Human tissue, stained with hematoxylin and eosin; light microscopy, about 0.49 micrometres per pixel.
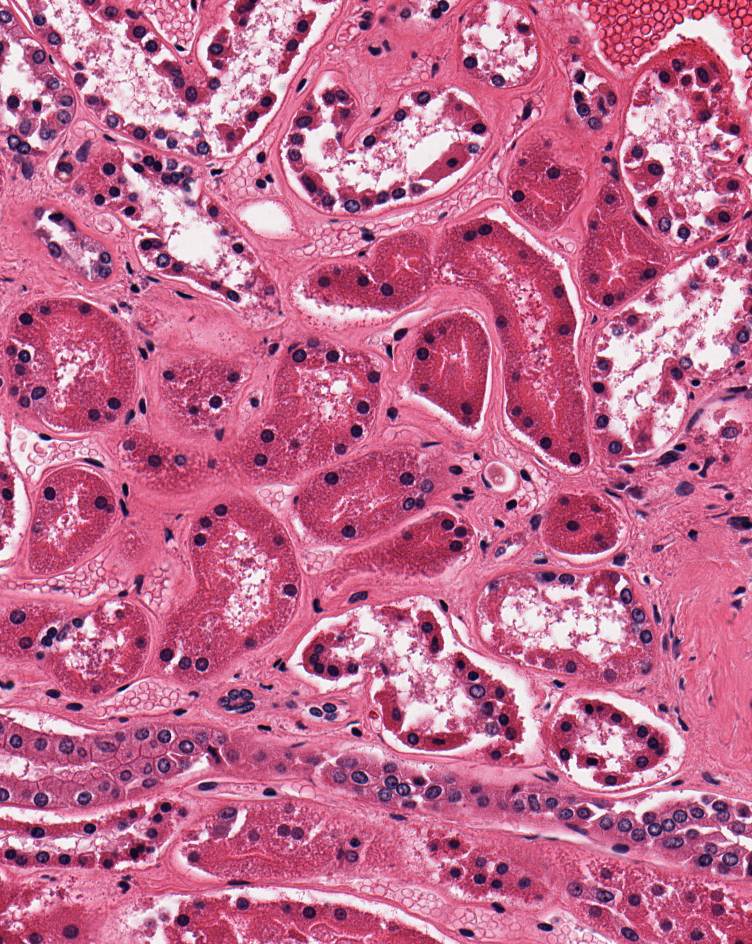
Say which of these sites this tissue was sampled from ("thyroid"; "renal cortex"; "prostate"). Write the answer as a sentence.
The site this tissue was sampled from is the renal cortex.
